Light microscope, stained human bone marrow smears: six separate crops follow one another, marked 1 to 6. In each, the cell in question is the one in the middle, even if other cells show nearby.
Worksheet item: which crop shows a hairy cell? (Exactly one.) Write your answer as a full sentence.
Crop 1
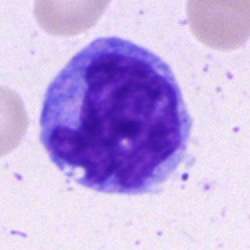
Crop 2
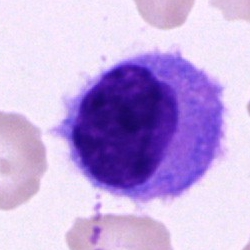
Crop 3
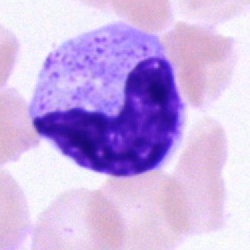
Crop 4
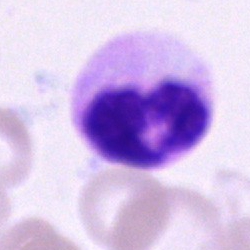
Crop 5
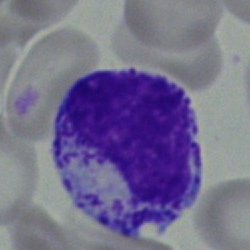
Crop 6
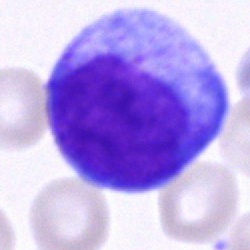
The one showing a hairy cell is the crop labelled 2.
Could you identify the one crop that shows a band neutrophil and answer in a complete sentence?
The crop with a band neutrophil in it is crop 3.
